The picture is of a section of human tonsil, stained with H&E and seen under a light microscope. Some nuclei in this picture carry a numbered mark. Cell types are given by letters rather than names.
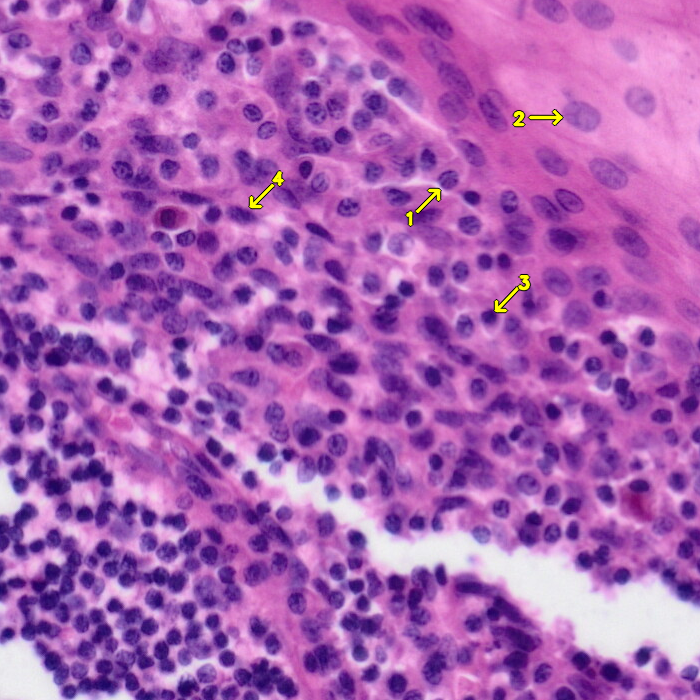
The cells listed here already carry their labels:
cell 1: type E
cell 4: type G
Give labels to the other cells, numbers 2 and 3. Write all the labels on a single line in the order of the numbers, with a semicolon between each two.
type G; type E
